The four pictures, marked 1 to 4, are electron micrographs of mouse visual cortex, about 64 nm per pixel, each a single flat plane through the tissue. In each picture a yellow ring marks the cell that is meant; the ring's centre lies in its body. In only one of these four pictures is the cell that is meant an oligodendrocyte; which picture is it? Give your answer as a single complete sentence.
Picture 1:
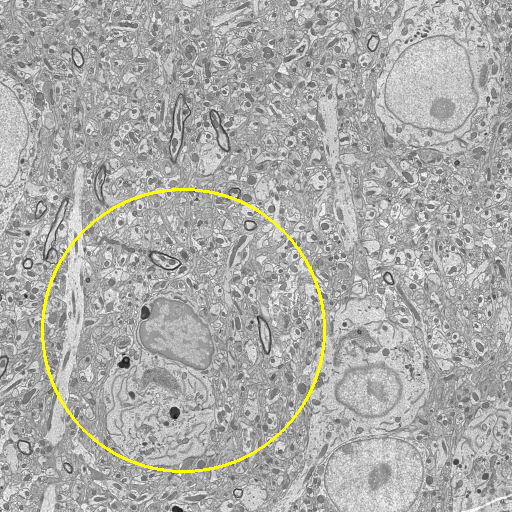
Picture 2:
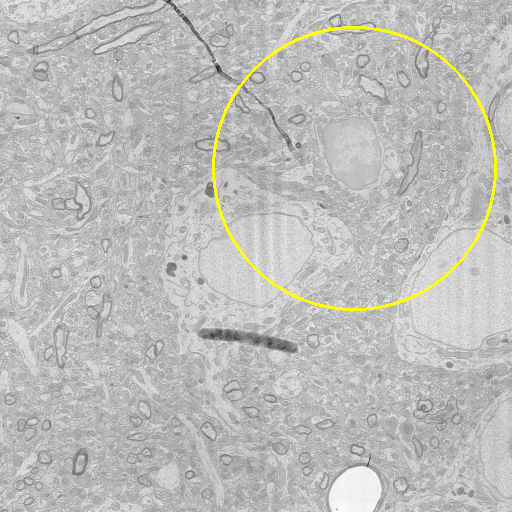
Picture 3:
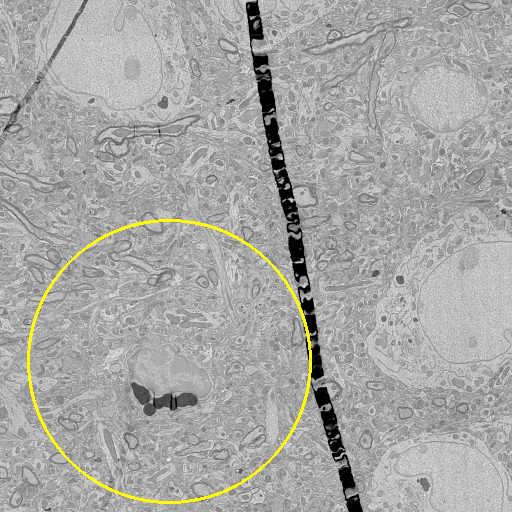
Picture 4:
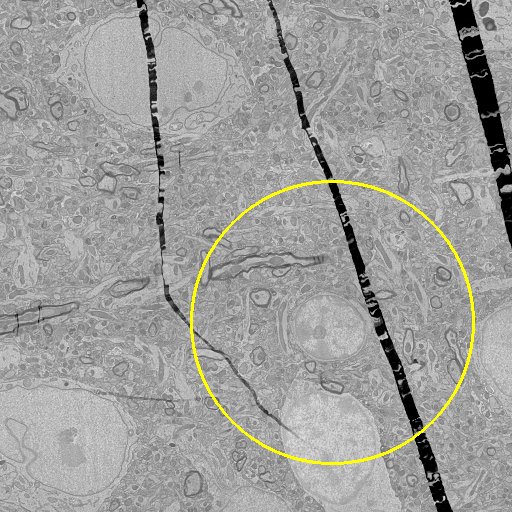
Picture 4 shows the oligodendrocyte.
